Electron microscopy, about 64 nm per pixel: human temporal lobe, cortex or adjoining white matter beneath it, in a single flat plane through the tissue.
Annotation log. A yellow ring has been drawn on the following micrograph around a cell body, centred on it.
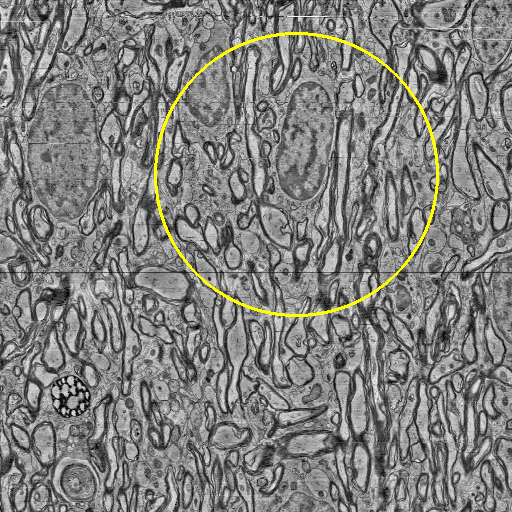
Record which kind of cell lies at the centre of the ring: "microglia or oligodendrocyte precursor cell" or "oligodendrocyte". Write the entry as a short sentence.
The cell the ring is centred on is a microglial cell or oligodendrocyte precursor cell.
